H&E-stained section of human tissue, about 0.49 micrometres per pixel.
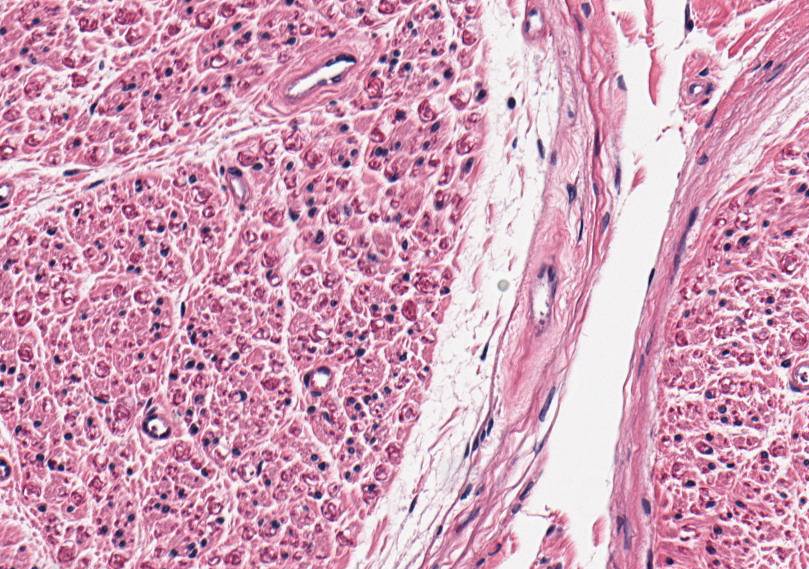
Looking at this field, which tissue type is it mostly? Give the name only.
nerve fascicle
